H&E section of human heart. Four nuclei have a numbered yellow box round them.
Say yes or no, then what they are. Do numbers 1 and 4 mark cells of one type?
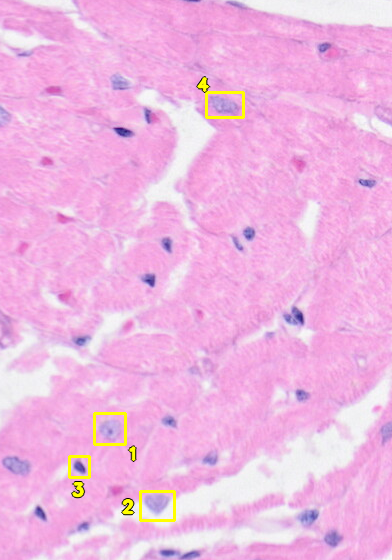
Yes, the pair of cells 1 and 4 are both cardiomyocytes.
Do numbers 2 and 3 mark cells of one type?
No, cell 2 is a cardiomyocyte; cell 3, by contrast, is an endothelial cell.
